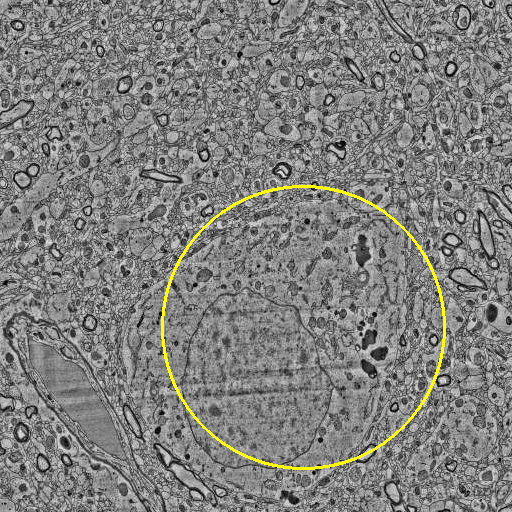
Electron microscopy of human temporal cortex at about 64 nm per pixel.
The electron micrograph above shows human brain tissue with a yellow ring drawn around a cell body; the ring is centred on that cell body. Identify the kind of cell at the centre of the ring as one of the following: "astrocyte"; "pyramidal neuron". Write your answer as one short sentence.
The cell at the centre of the ring is a pyramidal neuron.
